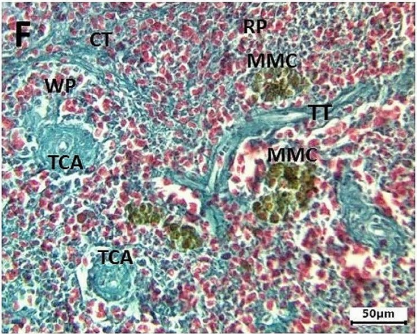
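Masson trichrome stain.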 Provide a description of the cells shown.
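Spleen tissue in which red-stained red blood cells of the red pulp mix with smaller darker lymphoid cells, crossed by broad blue-green bands of connective tissue and thickened trabeculae. Several arterioles have thick walls of concentric blue-green fibres. Clusters of yellow-brown pigmented cells form melanomacrophage centers scattered in the pulp.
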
